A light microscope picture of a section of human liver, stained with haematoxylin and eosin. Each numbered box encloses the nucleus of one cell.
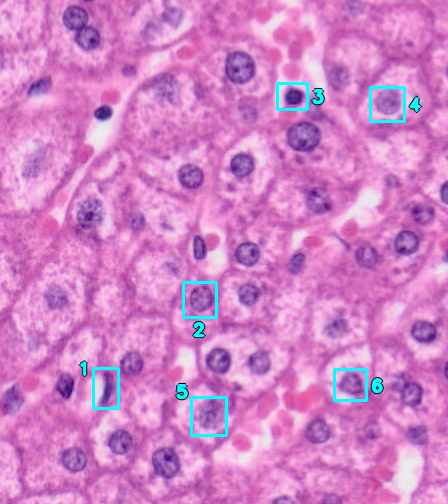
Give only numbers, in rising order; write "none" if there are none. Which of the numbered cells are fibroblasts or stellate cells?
none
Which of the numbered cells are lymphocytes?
3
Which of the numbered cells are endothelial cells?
1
